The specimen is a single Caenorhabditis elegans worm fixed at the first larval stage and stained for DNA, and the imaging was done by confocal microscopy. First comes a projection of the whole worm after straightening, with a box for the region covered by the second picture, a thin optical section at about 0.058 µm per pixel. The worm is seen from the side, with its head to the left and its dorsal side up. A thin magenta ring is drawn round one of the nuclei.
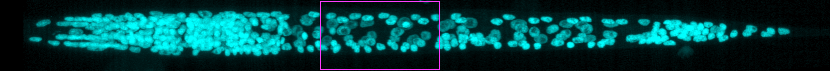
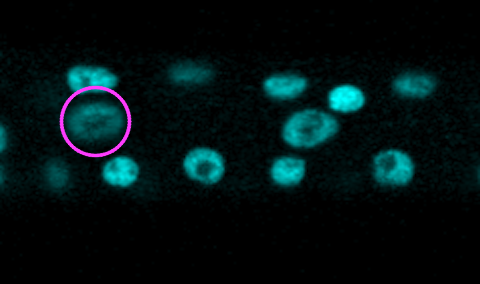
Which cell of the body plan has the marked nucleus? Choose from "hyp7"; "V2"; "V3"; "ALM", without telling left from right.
hyp7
